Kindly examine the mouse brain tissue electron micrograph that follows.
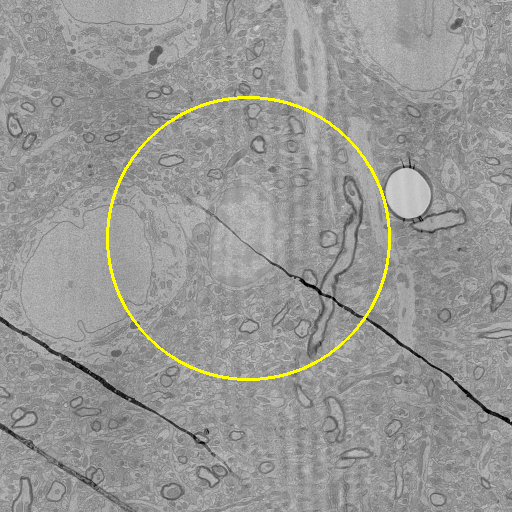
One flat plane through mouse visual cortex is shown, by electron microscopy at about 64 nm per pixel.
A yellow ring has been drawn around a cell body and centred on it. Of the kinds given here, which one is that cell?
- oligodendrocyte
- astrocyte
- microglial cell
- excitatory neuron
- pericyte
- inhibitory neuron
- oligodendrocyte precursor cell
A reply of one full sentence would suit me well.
The micrograph's ringed cell, the one at the ring's centre, is an oligodendrocyte.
